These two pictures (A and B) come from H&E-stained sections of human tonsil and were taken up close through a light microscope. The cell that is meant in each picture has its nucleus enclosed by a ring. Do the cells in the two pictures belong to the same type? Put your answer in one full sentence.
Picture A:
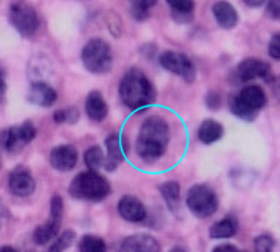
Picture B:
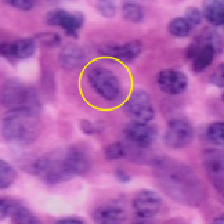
No; the cell in picture A is a proliferating B cell, while the one in picture B is a plasma cell.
